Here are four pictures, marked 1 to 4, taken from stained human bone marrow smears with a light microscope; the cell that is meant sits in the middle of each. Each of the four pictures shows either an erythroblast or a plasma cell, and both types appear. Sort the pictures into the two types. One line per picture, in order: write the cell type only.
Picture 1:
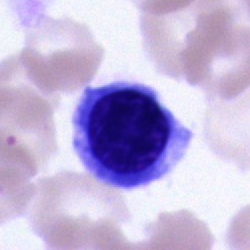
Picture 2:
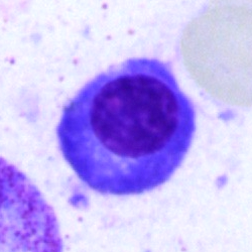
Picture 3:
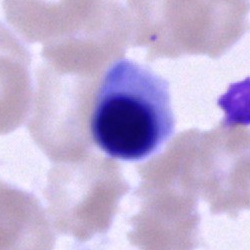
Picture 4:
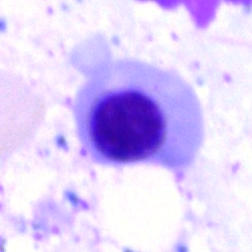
erythroblast
plasma cell
erythroblast
erythroblast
